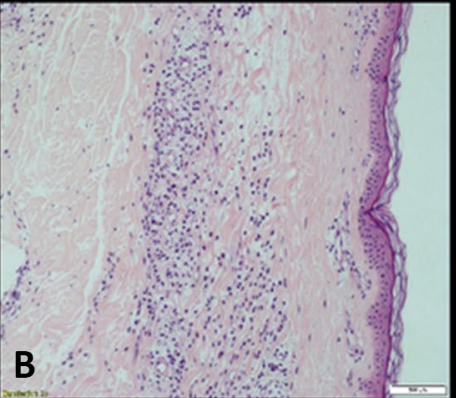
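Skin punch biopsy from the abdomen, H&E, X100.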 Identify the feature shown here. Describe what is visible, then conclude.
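Subepidermal Grenz zone. The dense band of cells in the dermis is separated from the epidermis by this clear band.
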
